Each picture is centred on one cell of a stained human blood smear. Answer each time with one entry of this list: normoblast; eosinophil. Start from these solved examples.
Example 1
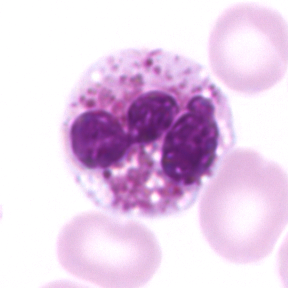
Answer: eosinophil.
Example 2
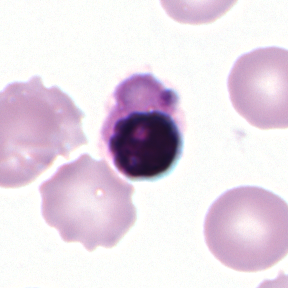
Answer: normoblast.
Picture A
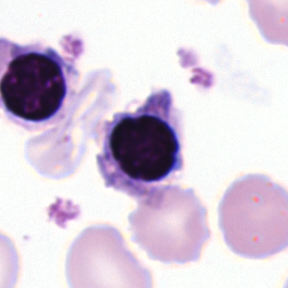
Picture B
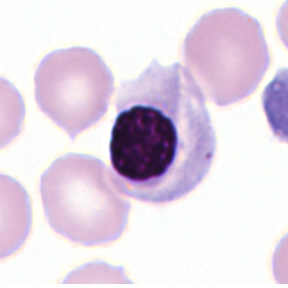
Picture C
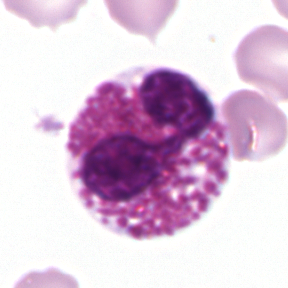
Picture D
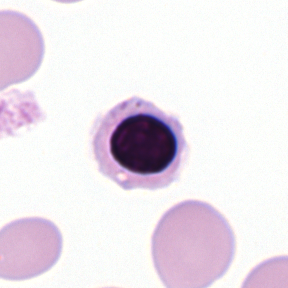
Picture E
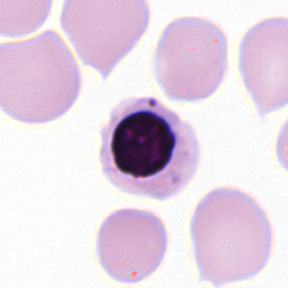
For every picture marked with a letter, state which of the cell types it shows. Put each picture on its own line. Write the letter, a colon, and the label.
A: normoblast.
B: normoblast.
C: eosinophil.
D: normoblast.
E: normoblast.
